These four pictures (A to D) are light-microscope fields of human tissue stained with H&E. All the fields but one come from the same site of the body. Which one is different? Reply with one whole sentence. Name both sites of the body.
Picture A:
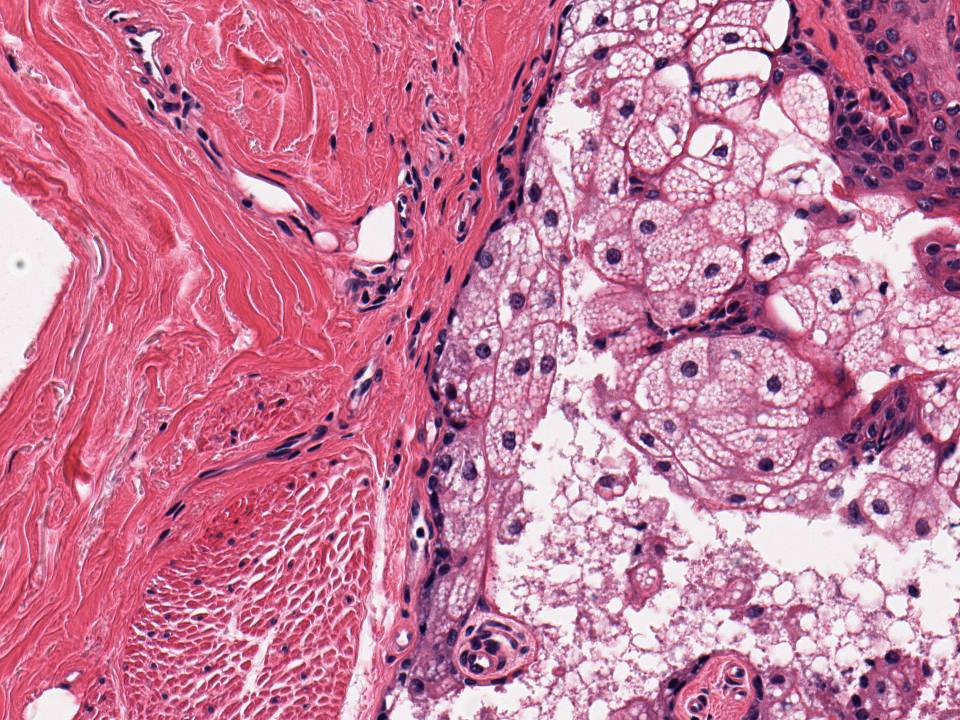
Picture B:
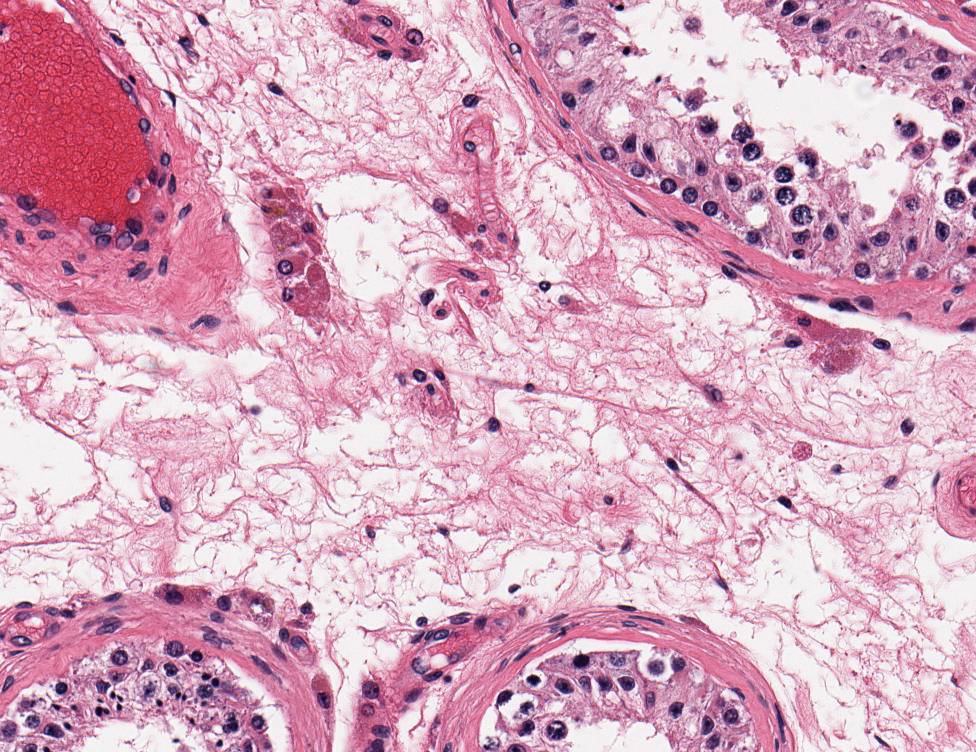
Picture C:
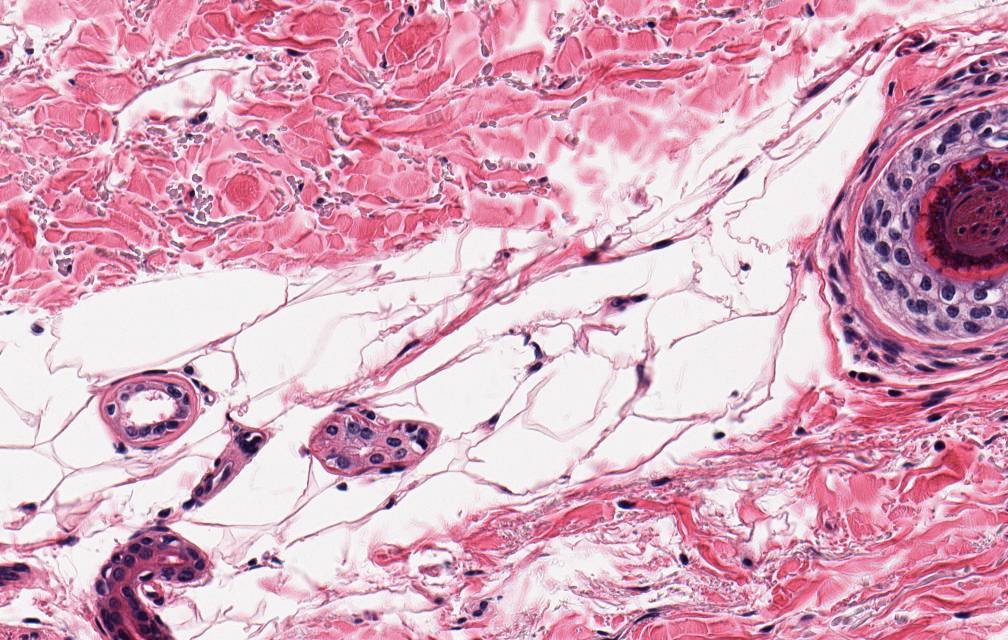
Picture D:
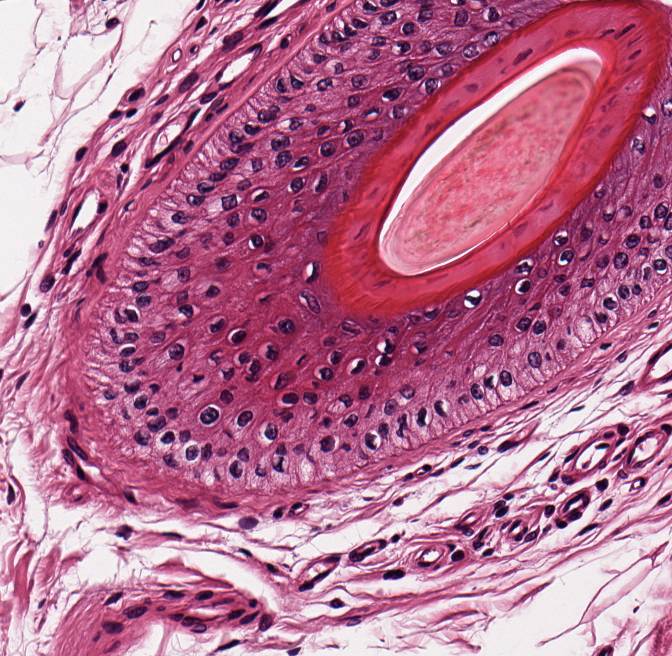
All pictures except B come from the skin of the lower leg; picture B comes from the testis.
